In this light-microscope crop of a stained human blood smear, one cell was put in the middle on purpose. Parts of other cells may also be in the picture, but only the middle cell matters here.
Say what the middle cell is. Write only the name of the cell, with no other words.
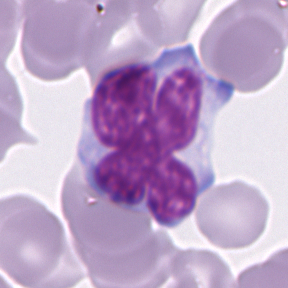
lymphocyte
